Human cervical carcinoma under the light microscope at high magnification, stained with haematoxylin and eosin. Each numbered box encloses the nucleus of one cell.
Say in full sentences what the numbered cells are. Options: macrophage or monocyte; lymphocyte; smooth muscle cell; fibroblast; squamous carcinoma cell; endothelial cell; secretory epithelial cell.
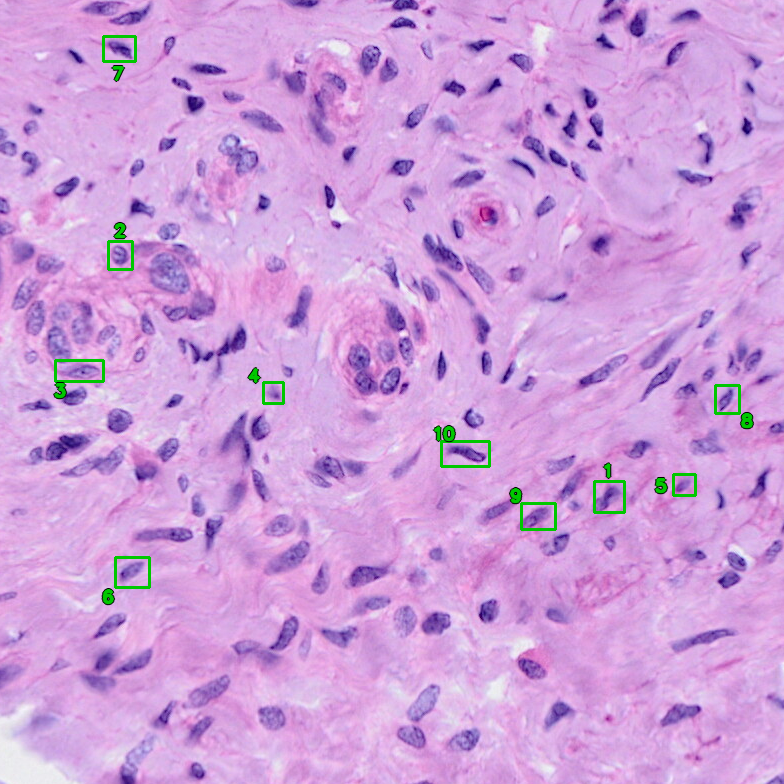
Cell 1 is a smooth muscle cell, cell 2 is a smooth muscle cell, cell 3 is a smooth muscle cell, cell 4 is a fibroblast, cell 5 is a smooth muscle cell, cell 6 is a fibroblast, cell 7 is a fibroblast, cell 8 is a fibroblast, cell 9 is a smooth muscle cell and cell 10 is a fibroblast.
